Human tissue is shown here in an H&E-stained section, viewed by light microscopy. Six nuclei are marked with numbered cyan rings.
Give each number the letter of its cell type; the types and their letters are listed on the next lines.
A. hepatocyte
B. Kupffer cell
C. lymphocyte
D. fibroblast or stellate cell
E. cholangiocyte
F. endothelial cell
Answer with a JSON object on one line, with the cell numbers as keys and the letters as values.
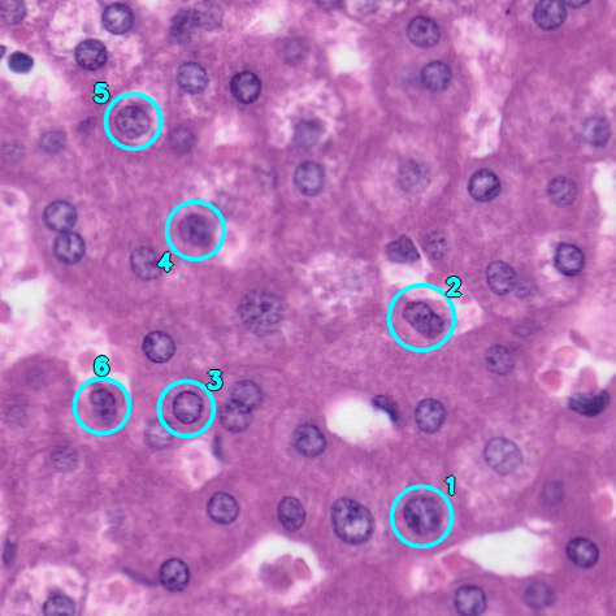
{"1": "A", "2": "B", "3": "A", "4": "F", "5": "A", "6": "B"}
